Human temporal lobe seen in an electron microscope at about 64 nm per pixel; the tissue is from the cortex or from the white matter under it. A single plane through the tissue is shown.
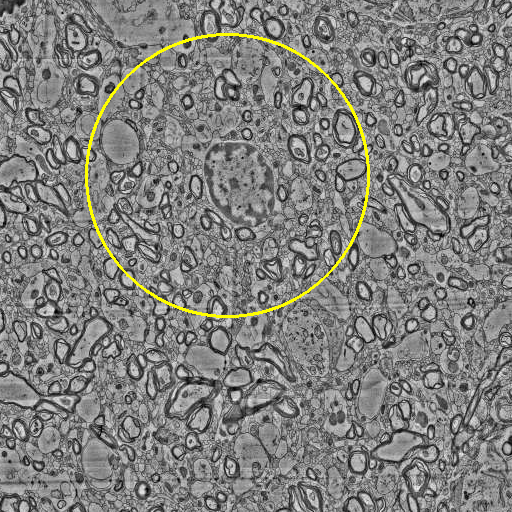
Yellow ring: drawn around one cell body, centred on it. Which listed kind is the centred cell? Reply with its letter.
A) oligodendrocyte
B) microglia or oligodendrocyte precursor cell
B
